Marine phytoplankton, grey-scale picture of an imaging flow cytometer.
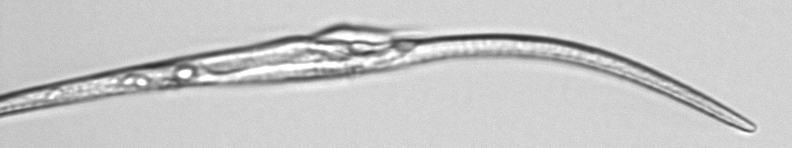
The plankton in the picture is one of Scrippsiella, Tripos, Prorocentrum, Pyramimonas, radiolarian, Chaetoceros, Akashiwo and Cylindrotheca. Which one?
Tripos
